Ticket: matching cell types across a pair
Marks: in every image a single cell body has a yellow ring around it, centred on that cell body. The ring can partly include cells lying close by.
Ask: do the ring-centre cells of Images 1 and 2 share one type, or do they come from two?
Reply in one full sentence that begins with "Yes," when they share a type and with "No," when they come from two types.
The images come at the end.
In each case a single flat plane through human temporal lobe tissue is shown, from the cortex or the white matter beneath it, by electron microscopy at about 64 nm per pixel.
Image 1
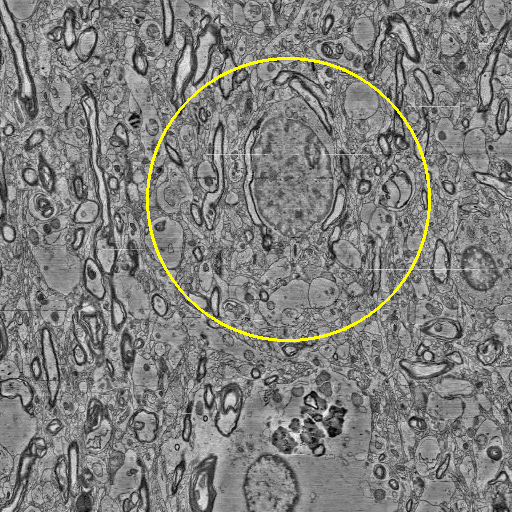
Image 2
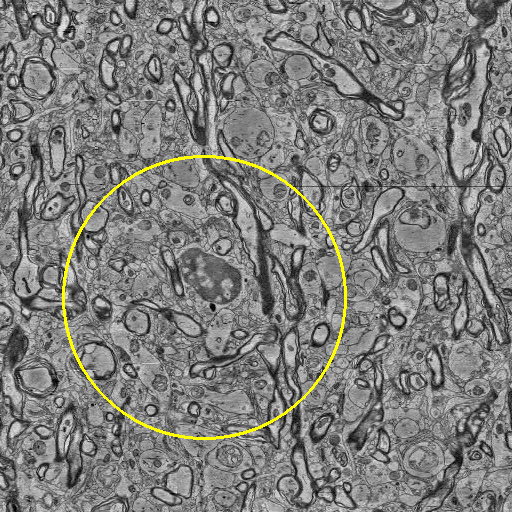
No, the cells in the centres of the rings in Image 1 and Image 2 come from two types.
